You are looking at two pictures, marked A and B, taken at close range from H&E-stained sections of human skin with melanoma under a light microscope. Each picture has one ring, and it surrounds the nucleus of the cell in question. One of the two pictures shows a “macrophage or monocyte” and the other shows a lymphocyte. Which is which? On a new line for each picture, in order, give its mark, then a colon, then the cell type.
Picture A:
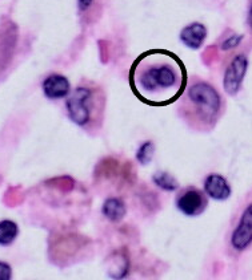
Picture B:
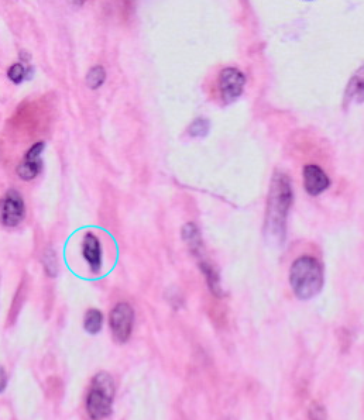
A: macrophage or monocyte
B: lymphocyte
